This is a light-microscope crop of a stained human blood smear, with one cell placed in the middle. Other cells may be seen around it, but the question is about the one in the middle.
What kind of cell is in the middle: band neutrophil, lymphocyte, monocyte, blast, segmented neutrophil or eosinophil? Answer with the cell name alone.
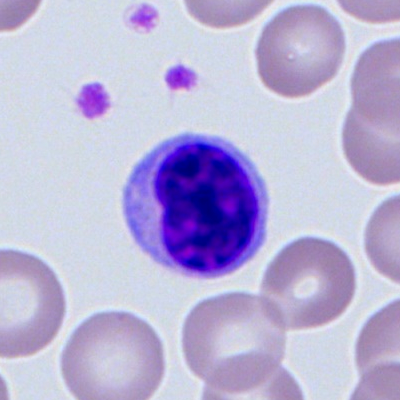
lymphocyte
